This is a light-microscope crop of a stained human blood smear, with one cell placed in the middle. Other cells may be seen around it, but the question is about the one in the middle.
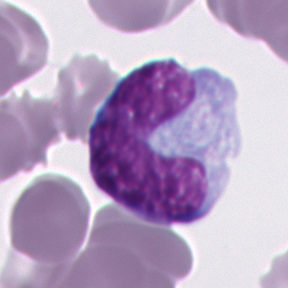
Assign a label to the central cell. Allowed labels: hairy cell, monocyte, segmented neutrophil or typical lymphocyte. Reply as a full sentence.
The centered cell in this crop is a monocyte.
